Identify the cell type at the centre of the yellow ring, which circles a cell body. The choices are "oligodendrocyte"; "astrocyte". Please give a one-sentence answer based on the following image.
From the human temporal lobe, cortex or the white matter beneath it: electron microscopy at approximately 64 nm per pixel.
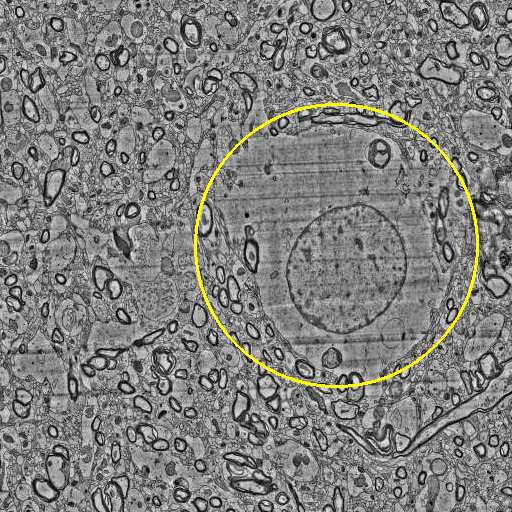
The cell marked by the ring is an astrocyte.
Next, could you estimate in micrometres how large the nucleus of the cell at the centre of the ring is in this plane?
The nucleus is about 8 micrometres across in this plane.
